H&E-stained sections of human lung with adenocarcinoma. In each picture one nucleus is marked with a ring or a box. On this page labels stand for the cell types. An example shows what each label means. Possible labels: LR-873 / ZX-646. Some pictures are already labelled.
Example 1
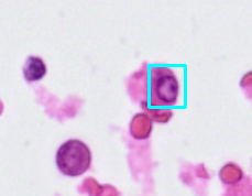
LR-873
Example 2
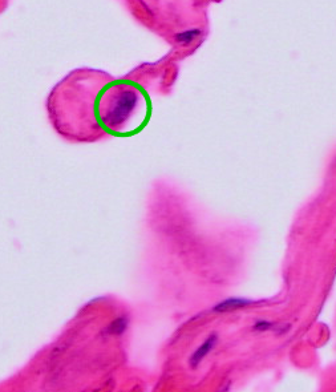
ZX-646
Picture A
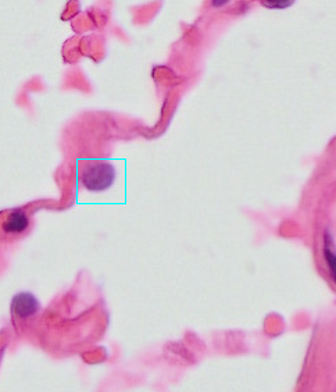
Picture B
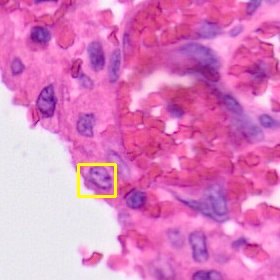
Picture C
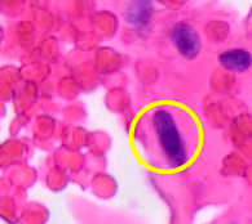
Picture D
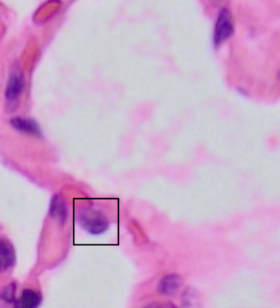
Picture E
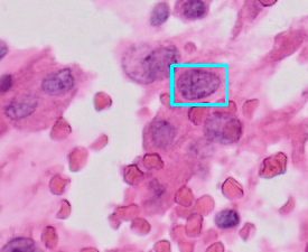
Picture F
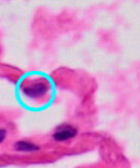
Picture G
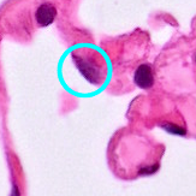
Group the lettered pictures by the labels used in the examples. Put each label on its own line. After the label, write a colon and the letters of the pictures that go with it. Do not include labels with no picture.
LR-873: B, E
ZX-646: A, C, D, F, G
